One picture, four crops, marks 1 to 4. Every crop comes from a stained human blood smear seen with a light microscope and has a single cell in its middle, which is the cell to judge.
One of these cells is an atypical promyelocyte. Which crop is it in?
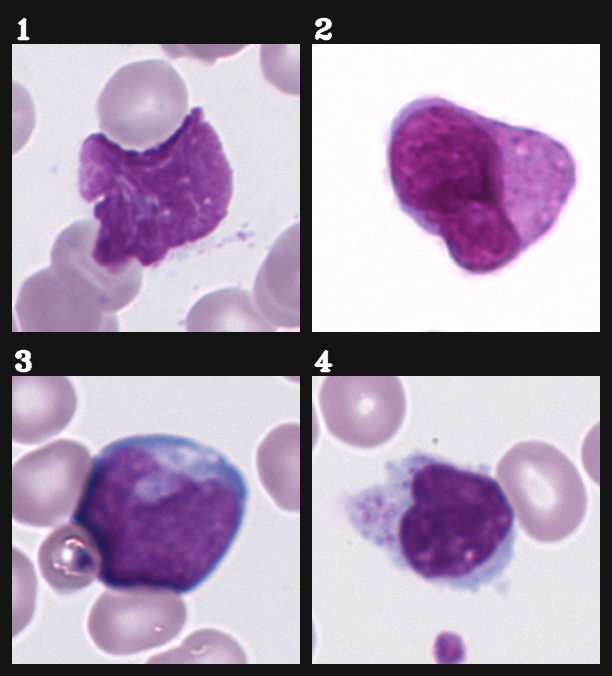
2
